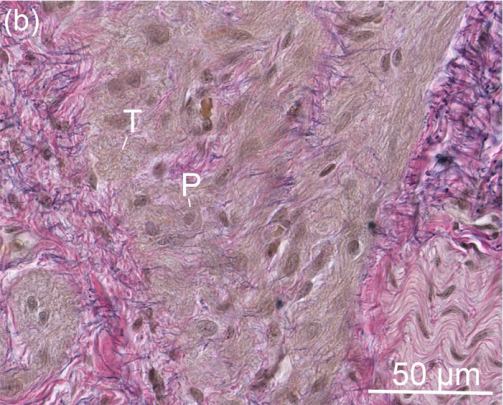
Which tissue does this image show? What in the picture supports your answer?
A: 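Small pale cells with oval nuclei lie in clusters. The cells are embedded in abundant pink fibrous tissue with thin dark purple fibres.
Answer: Sinus node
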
